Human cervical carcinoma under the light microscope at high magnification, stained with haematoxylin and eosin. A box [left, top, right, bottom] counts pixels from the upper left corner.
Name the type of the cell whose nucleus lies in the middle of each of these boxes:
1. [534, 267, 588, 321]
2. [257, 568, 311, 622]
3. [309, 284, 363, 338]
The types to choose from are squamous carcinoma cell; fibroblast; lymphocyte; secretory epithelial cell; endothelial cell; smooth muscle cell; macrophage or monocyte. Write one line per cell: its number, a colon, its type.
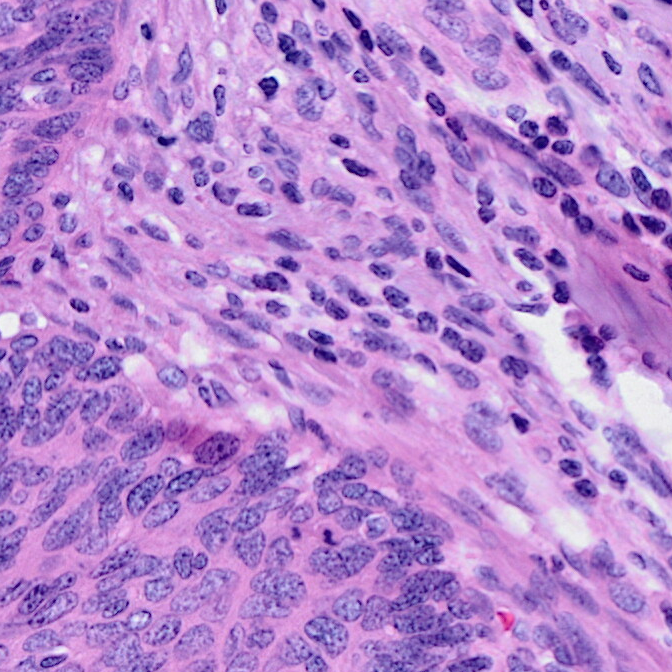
1: lymphocyte
2: squamous carcinoma cell
3: lymphocyte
